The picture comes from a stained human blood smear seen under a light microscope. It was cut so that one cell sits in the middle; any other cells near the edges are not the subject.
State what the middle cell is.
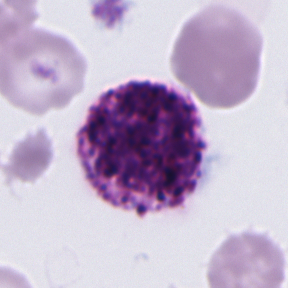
basophil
